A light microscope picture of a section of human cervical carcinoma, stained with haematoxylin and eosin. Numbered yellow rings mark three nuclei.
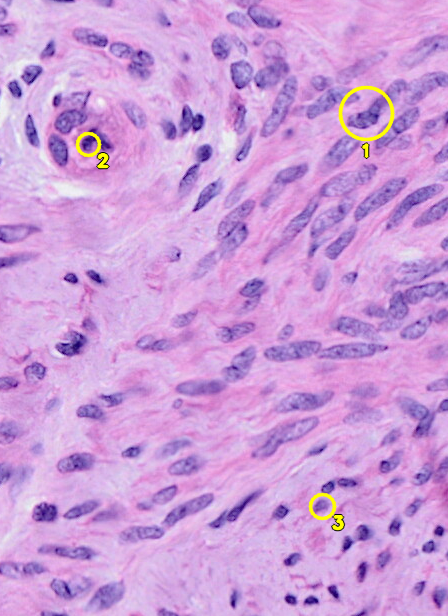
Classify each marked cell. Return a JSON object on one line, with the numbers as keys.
{"1": "smooth muscle cell", "2": "endothelial cell", "3": "smooth muscle cell"}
